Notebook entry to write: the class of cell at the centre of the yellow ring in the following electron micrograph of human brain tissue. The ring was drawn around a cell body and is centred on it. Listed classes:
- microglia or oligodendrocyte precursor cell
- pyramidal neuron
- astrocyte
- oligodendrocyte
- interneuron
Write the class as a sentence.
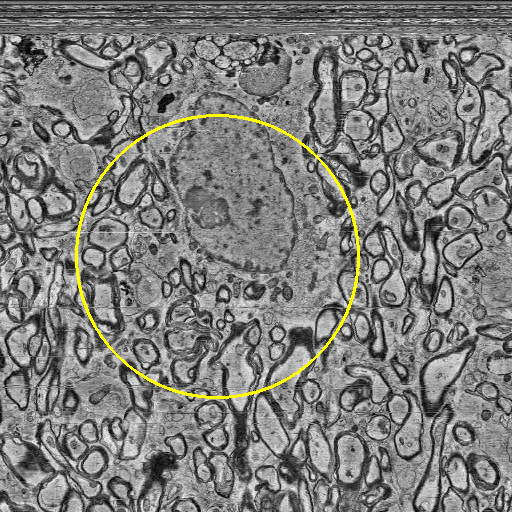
The yellow ring sits on an astrocyte.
